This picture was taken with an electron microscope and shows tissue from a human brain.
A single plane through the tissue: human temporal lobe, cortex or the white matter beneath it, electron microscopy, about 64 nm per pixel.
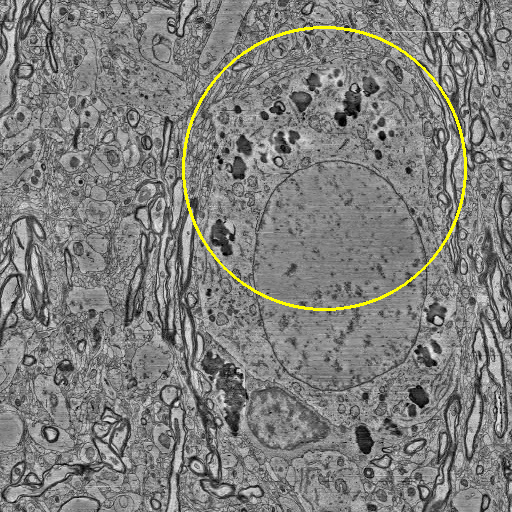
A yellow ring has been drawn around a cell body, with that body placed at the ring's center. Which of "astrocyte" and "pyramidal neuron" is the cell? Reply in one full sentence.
In this picture, a pyramidal neuron is the cell at the center of the yellow ring.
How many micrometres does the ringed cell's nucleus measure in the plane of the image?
About 15 micrometres by about 11 micrometres in this plane.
